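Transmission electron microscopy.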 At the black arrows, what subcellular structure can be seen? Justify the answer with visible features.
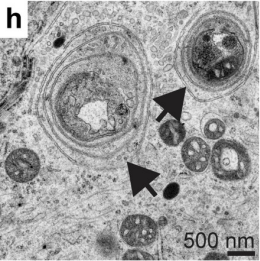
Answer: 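The arrows point to large round bodies bounded by multiple layered membranes.
Conclusion: Autophagosomes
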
